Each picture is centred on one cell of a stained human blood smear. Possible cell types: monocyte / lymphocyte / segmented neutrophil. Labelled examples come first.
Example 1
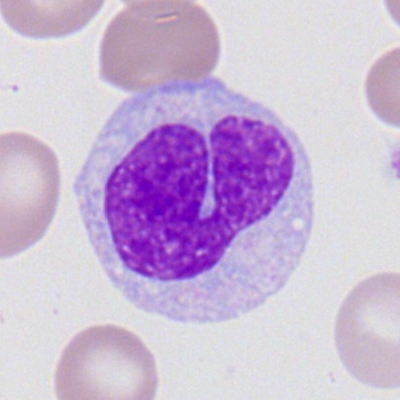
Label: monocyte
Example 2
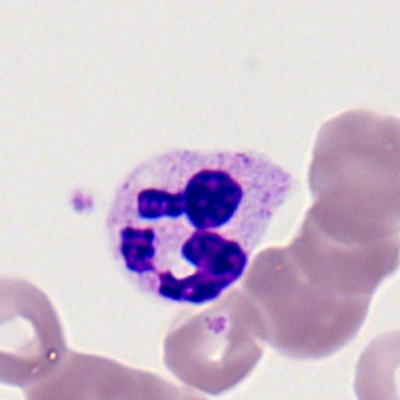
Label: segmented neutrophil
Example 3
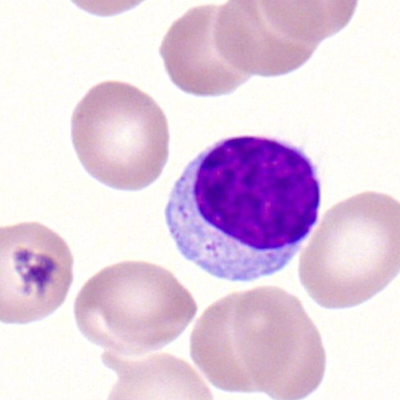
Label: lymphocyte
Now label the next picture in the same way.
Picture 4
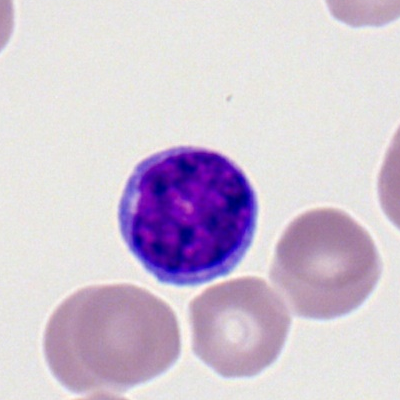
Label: lymphocyte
